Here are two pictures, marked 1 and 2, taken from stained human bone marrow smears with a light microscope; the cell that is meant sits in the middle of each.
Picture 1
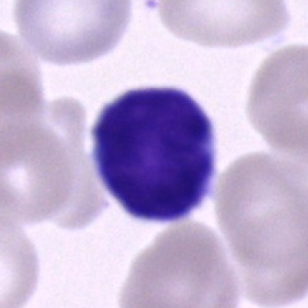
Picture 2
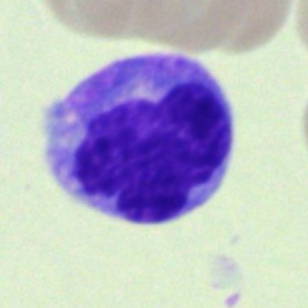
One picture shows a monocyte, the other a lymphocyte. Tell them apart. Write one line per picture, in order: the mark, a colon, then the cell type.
1: lymphocyte
2: monocyte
